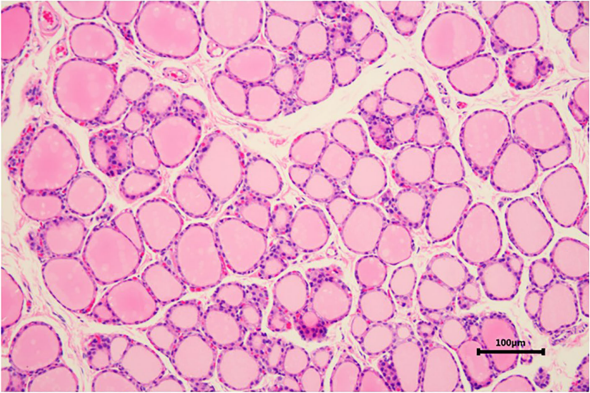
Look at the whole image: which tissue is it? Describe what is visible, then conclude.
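Round closed follicles of varied size filled with homogeneous pink material. Each follicle is lined by a single layer of flattened to cuboidal cells with dark purple nuclei. Thin pale connective tissue septa run between groups of follicles.
Thyroid.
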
